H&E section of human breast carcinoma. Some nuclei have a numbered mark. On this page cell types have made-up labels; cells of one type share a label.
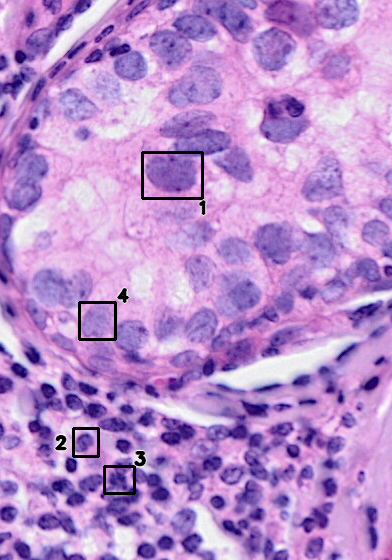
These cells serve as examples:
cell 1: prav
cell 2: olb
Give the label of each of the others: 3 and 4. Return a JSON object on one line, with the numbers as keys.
{"3": "olb", "4": "prav"}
